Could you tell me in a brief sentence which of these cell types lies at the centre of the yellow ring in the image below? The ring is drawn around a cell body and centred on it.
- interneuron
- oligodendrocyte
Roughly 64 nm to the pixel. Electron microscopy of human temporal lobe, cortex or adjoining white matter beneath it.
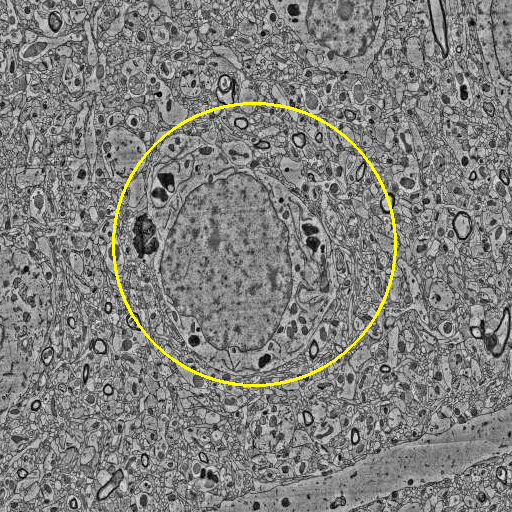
The cell centred in the ring is an interneuron.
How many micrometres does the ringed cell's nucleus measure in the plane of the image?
In this plane the nucleus spans approximately 11 by 8 micrometers.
